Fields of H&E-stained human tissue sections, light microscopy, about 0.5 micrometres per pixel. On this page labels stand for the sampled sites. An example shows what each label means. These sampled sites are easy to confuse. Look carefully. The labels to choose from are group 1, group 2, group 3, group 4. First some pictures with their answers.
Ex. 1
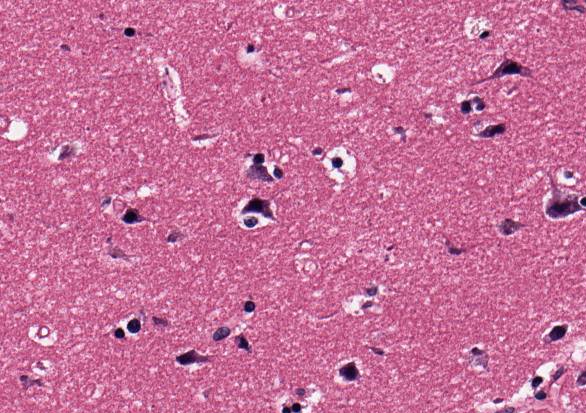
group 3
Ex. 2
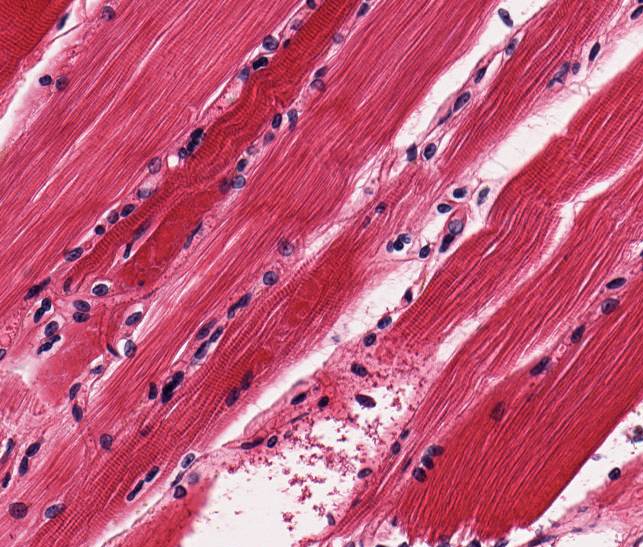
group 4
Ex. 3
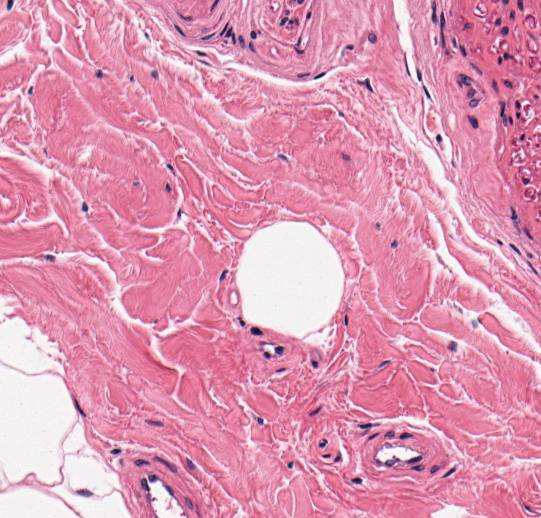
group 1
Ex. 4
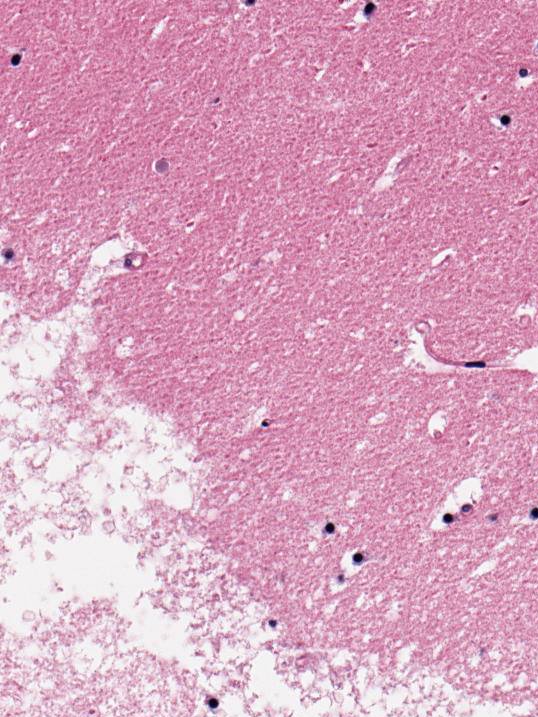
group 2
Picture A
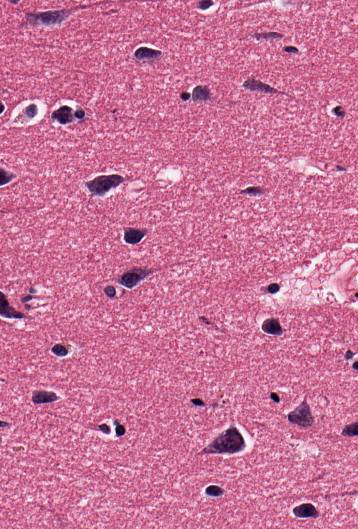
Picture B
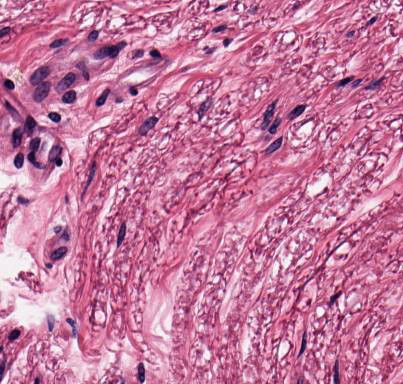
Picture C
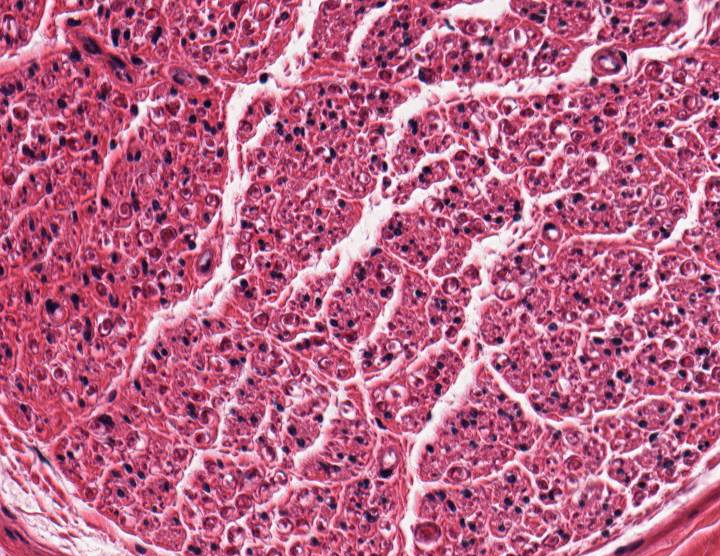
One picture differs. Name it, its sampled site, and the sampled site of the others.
Odd one out: A (group 3). The rest: group 1.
